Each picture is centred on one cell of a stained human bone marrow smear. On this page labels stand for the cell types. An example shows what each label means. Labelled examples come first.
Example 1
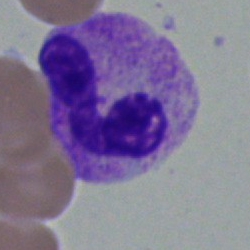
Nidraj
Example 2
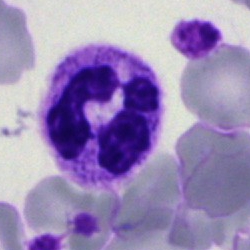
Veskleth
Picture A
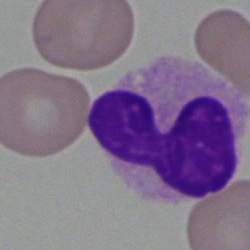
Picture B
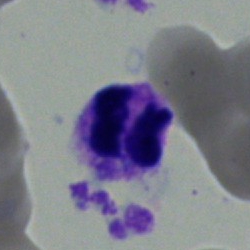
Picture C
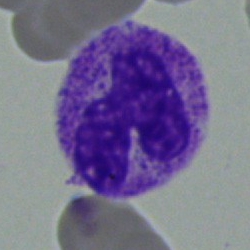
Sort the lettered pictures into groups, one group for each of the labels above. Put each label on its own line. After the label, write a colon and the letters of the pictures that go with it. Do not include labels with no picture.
Nidraj: A, C
Veskleth: B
